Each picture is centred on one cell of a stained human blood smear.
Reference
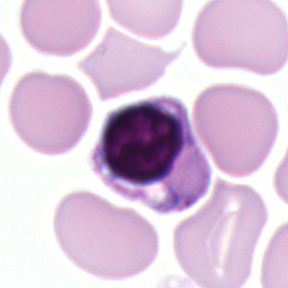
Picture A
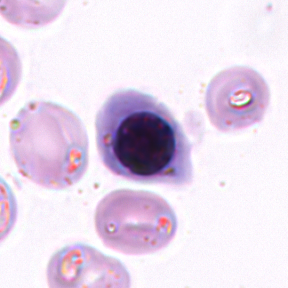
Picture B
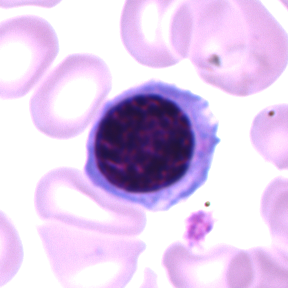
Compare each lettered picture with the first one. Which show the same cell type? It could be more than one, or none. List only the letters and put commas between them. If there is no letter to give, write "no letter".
A, B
